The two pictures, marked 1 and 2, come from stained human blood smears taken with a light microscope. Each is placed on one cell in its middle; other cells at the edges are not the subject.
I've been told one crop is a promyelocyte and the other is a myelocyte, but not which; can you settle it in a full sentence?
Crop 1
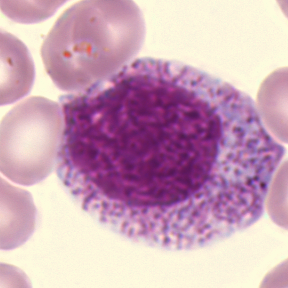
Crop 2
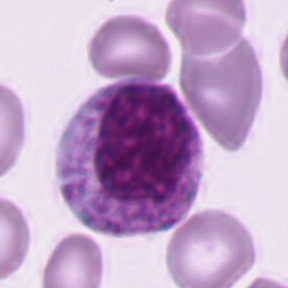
Within crop 1 sits a promyelocyte, and within crop 2 sits a myelocyte.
